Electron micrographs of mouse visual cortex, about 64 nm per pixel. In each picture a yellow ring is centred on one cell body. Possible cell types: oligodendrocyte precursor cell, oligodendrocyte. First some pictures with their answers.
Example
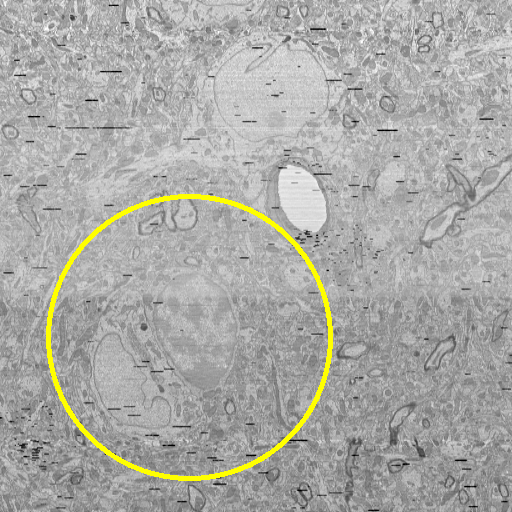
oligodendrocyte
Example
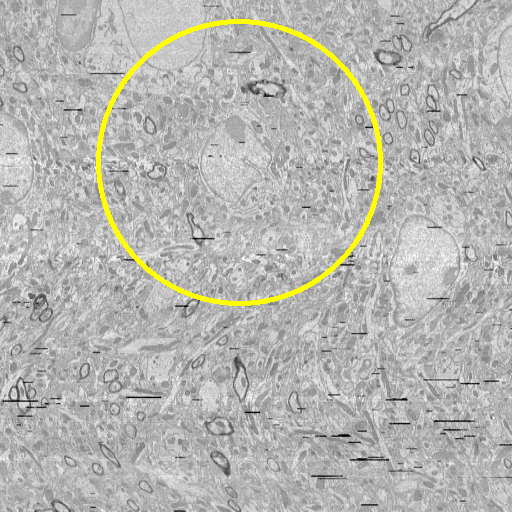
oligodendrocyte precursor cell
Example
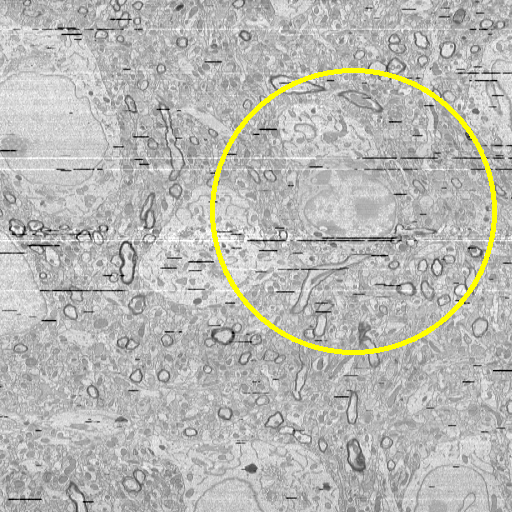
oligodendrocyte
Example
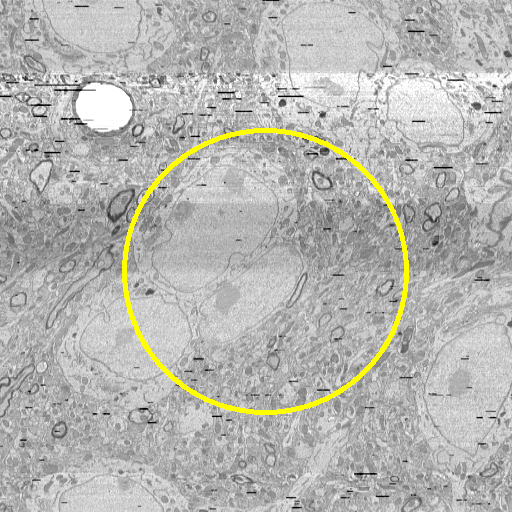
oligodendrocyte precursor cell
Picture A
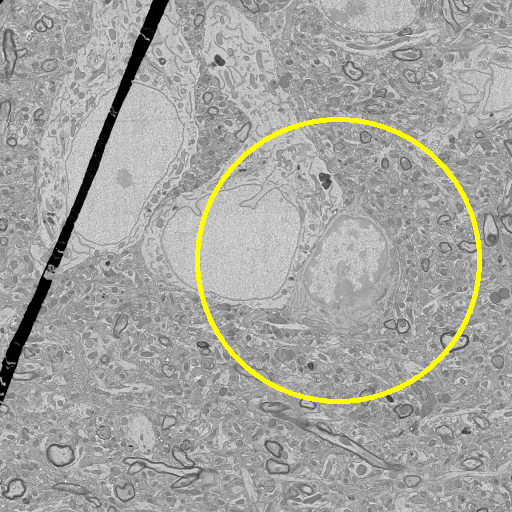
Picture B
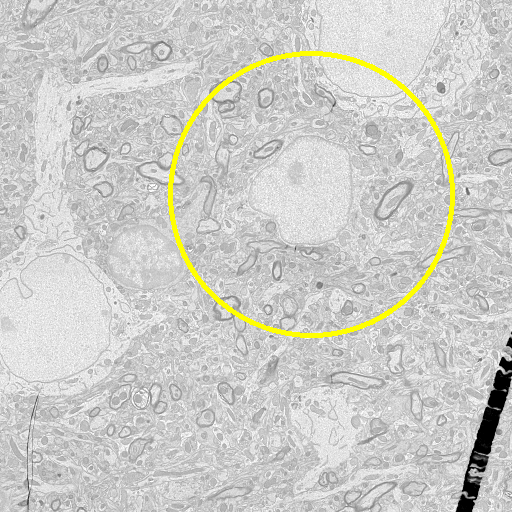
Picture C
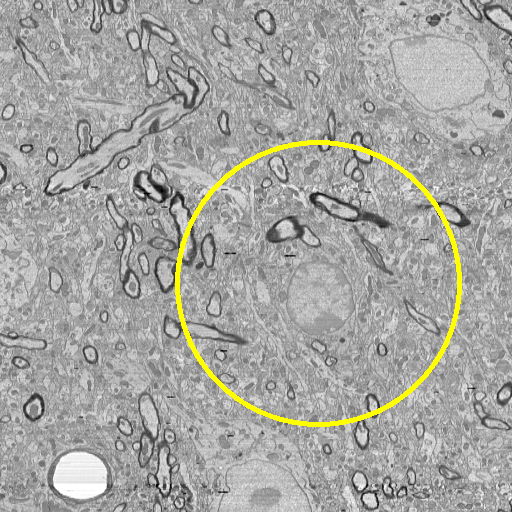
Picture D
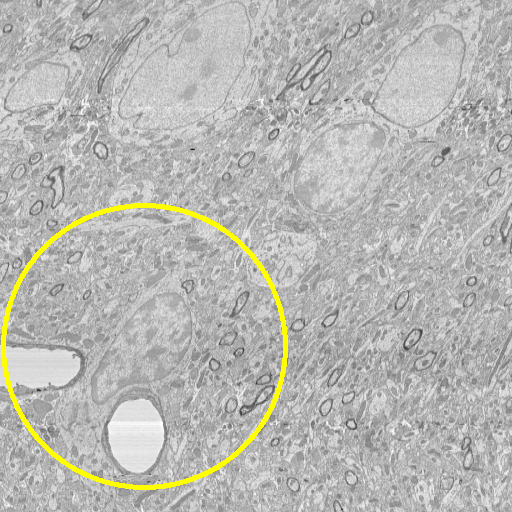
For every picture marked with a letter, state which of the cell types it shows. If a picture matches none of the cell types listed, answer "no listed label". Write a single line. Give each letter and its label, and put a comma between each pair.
A oligodendrocyte, B no listed label, C oligodendrocyte, D oligodendrocyte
